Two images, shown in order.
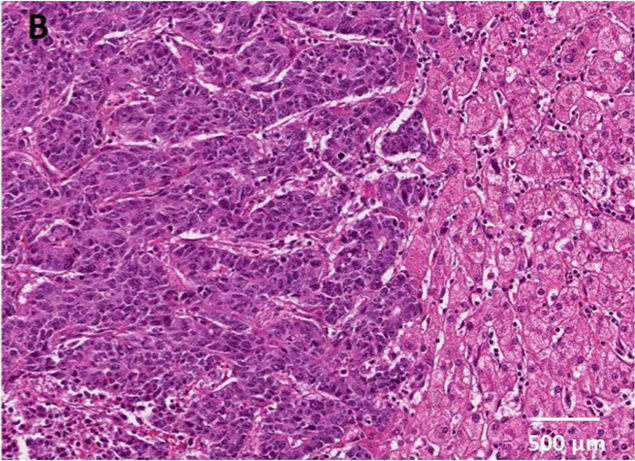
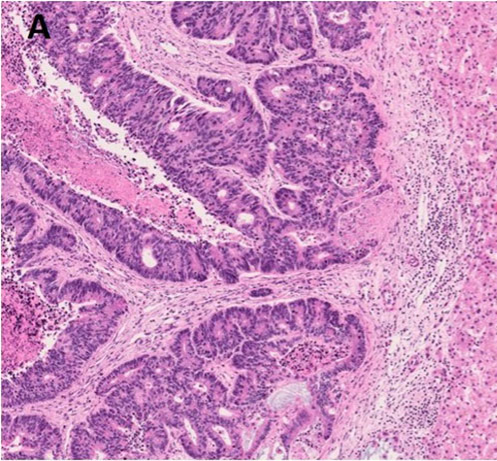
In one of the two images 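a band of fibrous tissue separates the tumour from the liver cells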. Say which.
The second image.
